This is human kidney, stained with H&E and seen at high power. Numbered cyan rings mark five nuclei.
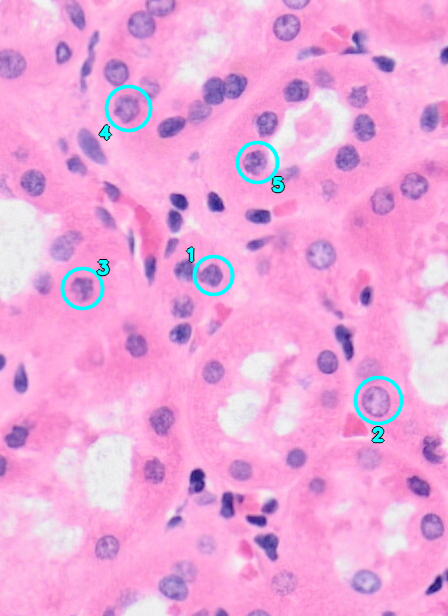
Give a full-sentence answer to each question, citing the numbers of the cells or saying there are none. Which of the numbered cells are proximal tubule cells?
Cells 2 and 4 are of one type, namely proximal tubule cells.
